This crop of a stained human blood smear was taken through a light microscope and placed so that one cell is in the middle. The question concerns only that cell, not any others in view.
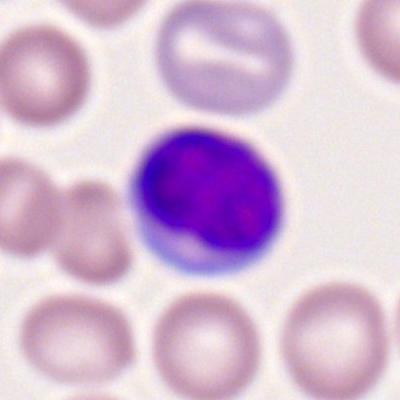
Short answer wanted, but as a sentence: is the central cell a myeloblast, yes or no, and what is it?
No, the cell in the middle is a lymphocyte, not a myeloblast.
